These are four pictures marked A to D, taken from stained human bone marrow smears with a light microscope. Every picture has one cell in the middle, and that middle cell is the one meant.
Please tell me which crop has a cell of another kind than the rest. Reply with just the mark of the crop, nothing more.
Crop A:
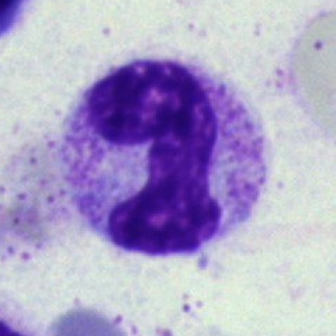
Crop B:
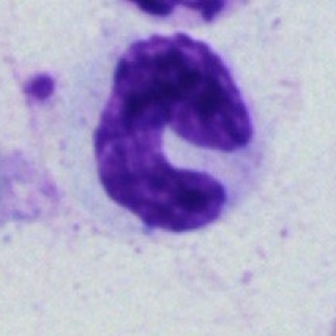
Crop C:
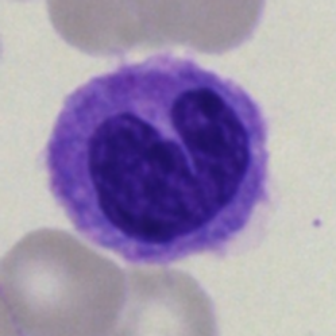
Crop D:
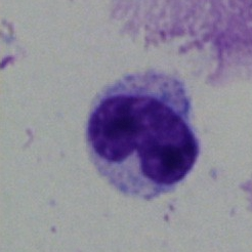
C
